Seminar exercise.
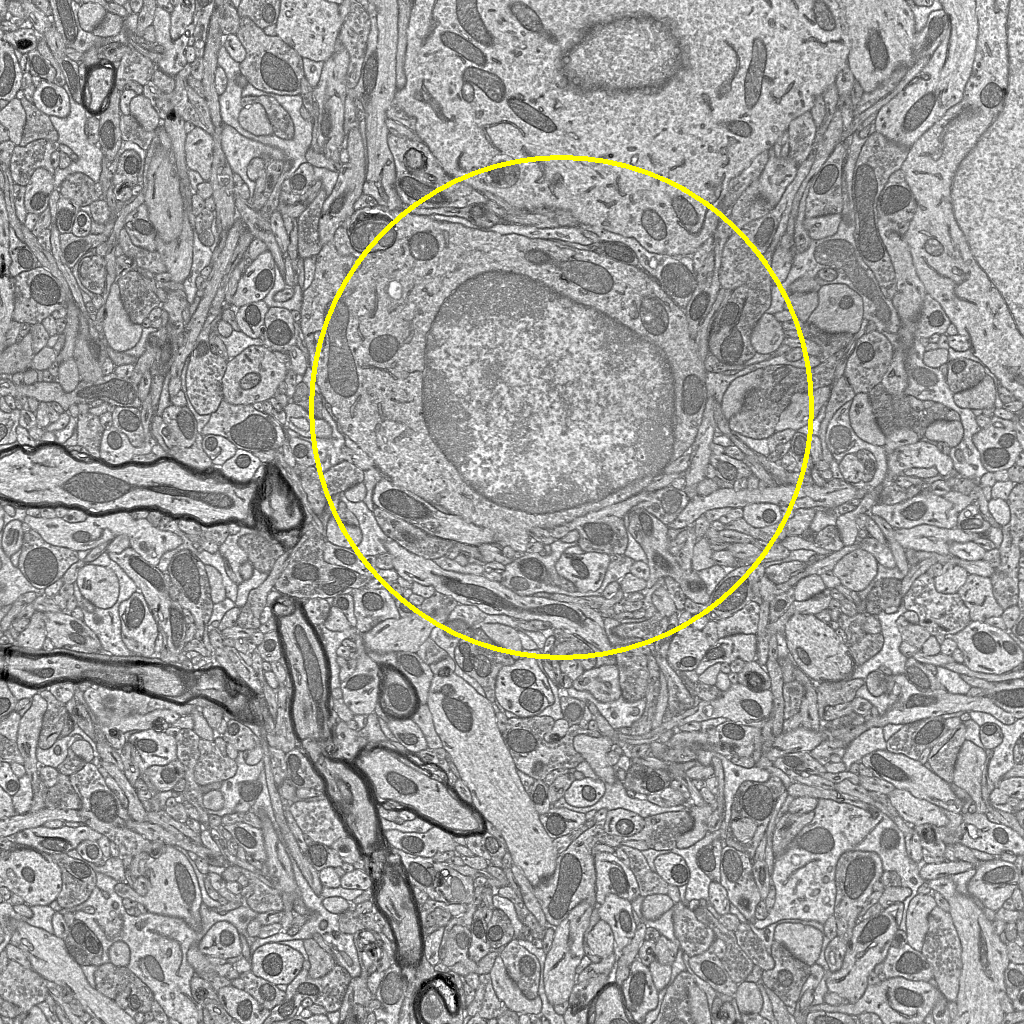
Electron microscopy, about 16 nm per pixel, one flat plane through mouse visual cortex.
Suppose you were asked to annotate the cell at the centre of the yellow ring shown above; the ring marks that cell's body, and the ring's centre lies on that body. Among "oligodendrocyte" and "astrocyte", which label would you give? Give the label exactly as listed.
oligodendrocyte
